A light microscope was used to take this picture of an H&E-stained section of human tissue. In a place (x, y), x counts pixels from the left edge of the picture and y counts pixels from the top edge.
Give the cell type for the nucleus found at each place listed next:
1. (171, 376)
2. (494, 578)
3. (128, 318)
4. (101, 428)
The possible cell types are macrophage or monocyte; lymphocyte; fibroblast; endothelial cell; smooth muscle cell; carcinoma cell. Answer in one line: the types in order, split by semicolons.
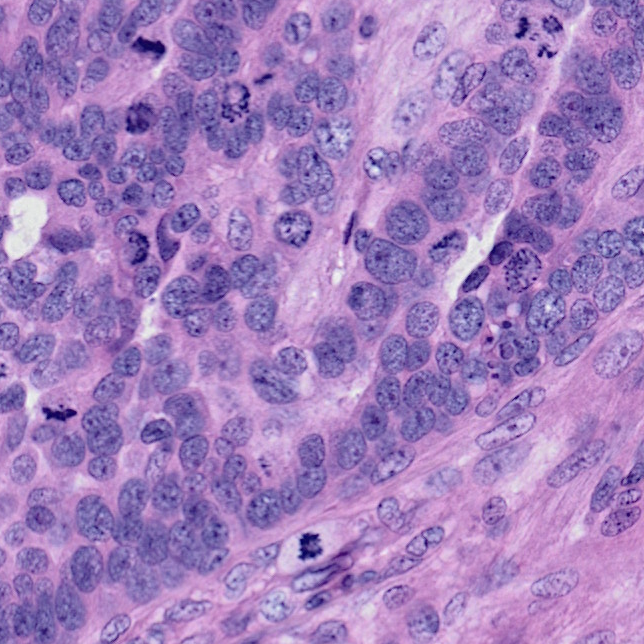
carcinoma cell; fibroblast; carcinoma cell; carcinoma cell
